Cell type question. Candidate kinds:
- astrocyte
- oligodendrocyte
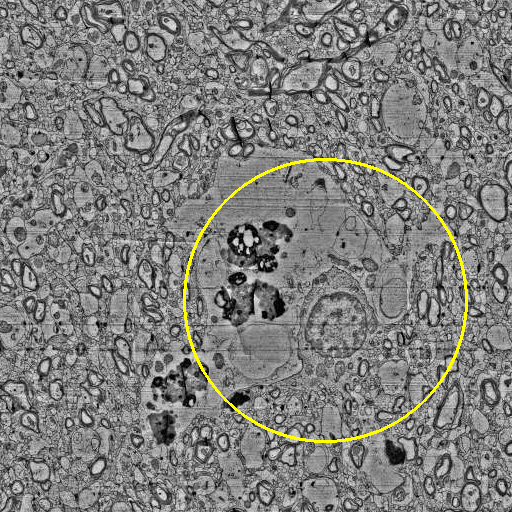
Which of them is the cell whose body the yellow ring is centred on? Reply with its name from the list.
oligodendrocyte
